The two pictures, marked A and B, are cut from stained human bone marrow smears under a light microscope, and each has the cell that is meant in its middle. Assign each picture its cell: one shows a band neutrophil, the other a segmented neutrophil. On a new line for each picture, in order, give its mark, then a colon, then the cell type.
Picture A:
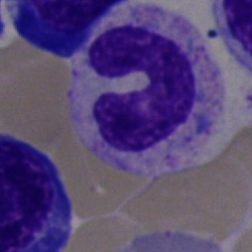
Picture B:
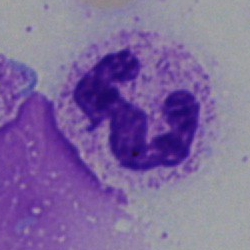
A: band neutrophil
B: segmented neutrophil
